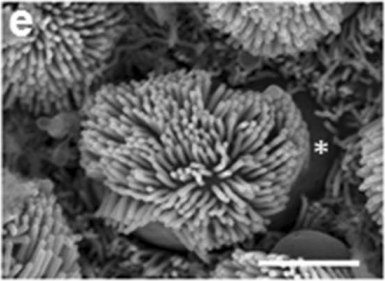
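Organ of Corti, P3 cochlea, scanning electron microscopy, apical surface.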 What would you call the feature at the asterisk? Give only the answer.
Stereocilia-free zone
